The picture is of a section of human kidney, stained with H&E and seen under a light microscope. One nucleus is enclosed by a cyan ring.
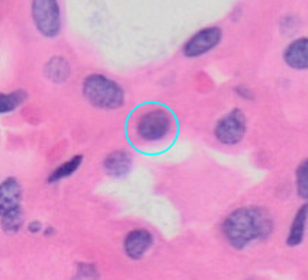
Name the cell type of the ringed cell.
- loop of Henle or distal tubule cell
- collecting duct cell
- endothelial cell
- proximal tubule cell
loop of Henle or distal tubule cell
